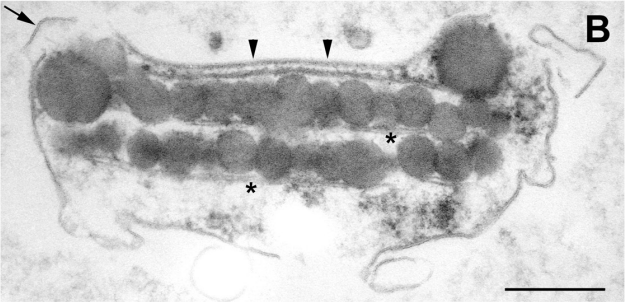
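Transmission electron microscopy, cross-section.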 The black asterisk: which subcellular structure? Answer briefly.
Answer: A thylakoid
